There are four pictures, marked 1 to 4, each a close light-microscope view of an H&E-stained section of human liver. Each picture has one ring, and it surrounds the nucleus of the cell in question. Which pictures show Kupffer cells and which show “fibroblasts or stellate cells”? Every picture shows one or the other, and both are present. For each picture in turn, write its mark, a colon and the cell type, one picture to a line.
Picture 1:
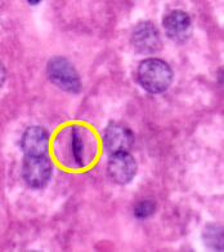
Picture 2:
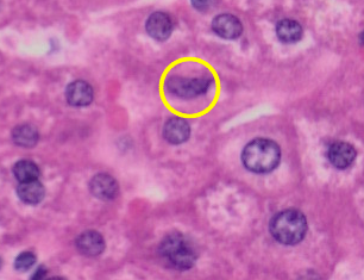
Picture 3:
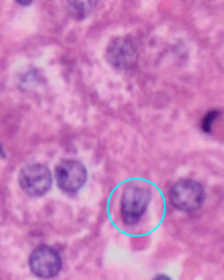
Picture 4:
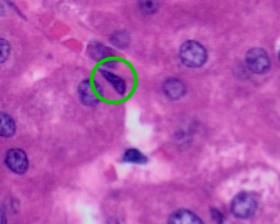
1: fibroblast or stellate cell
2: Kupffer cell
3: Kupffer cell
4: fibroblast or stellate cell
